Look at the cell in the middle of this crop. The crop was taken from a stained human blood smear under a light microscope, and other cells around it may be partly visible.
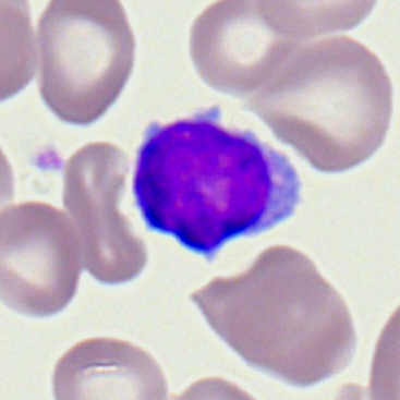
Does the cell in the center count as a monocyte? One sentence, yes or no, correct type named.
No, the cell sitting in the middle is a lymphocyte, and it is not a monocyte.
